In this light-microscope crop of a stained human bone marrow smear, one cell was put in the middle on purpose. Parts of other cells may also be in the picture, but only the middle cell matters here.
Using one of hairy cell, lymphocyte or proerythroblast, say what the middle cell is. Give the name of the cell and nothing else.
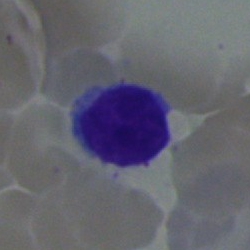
lymphocyte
